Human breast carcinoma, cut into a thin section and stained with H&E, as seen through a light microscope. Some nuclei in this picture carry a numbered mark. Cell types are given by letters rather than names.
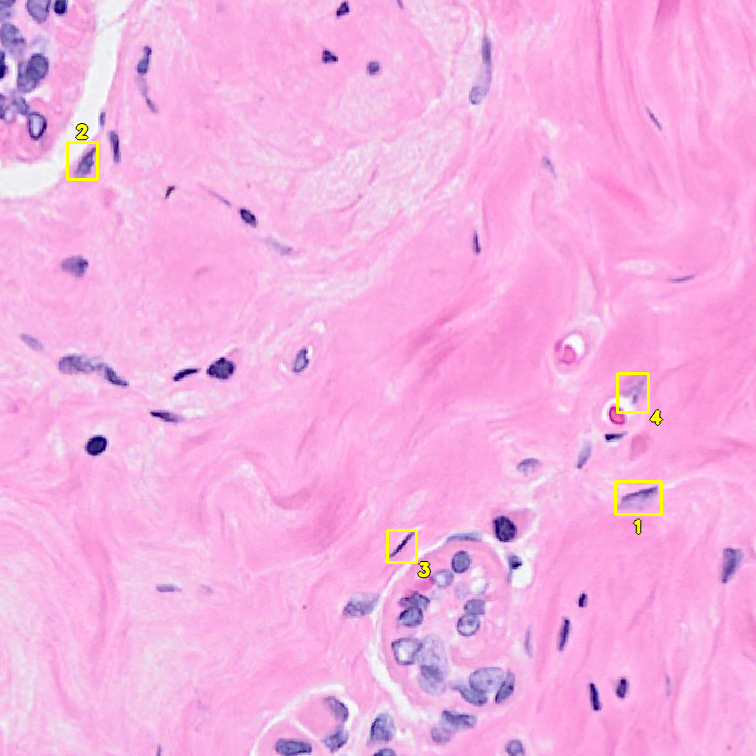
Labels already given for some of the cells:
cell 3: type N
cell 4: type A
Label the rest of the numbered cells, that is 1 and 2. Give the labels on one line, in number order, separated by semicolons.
type N; type A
